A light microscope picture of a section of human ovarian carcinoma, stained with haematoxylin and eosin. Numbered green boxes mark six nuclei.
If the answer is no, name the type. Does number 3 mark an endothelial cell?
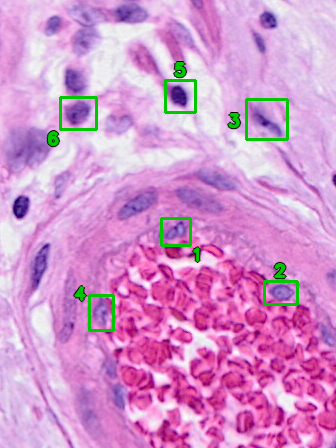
No, it is a fibroblast.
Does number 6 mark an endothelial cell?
No, it is a macrophage or monocyte.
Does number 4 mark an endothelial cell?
Yes.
